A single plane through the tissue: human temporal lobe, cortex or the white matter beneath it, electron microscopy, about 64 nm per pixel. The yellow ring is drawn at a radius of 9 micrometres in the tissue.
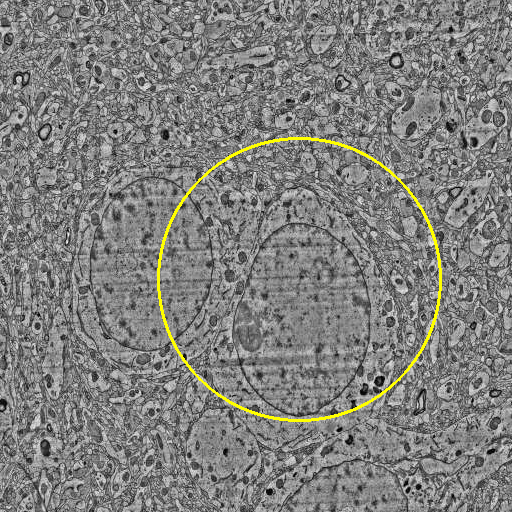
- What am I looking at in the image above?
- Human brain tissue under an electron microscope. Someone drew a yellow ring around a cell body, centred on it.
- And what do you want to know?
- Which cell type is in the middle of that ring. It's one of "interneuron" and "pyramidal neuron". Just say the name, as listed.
pyramidal neuron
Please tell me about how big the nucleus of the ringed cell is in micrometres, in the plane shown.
About 12 micrometres by about 9 micrometres in this plane.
